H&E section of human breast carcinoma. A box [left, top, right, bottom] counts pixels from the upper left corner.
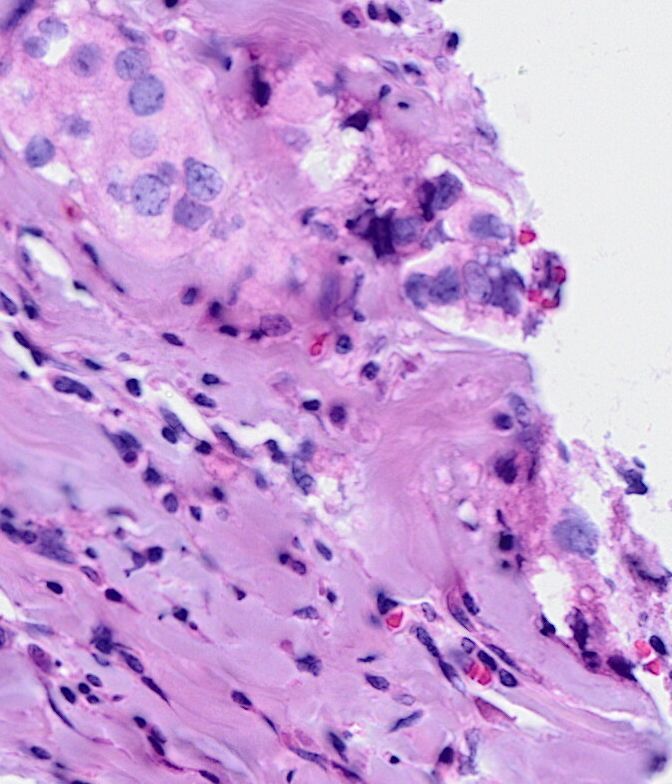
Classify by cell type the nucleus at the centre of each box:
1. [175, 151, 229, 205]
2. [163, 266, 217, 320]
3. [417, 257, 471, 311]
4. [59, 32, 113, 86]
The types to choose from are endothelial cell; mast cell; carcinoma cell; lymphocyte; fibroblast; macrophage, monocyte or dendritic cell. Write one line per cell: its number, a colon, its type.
1: carcinoma cell
2: mast cell
3: carcinoma cell
4: carcinoma cell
